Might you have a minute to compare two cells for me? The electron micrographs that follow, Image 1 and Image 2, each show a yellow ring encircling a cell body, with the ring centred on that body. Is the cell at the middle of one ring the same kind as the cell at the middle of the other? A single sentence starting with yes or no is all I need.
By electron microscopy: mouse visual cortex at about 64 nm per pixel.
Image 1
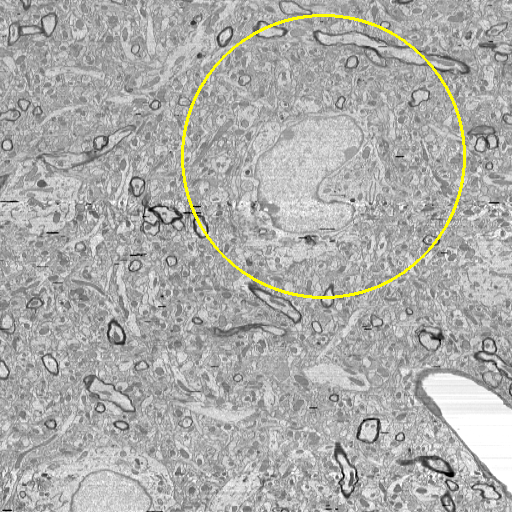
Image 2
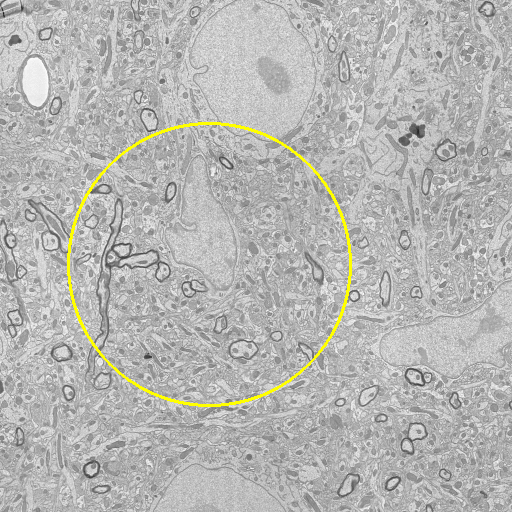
Yes, the cells in the middle of the two rings are of one shared kind.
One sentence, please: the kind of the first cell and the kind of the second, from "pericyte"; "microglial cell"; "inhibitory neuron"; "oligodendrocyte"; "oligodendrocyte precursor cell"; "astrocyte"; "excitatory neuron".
Both the first and the second picture show an oligodendrocyte precursor cell in the ring.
